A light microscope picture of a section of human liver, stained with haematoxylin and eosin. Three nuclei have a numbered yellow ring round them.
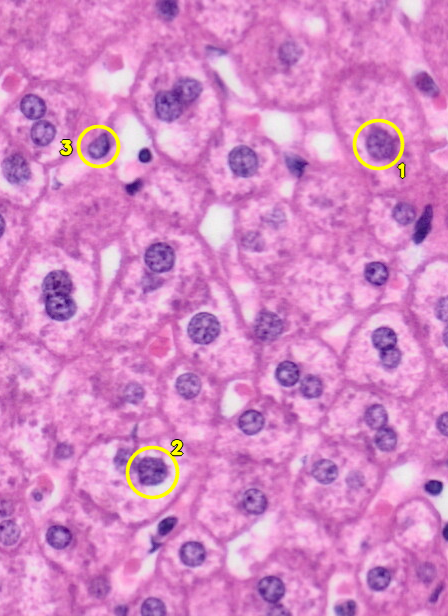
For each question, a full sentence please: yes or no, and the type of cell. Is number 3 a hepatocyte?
No, cell 3 is not a hepatocyte: it is a Kupffer cell.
